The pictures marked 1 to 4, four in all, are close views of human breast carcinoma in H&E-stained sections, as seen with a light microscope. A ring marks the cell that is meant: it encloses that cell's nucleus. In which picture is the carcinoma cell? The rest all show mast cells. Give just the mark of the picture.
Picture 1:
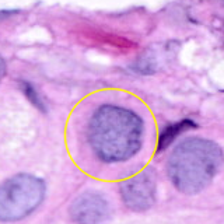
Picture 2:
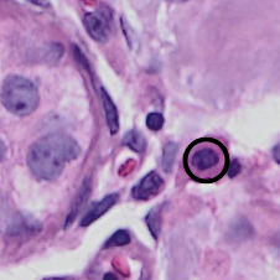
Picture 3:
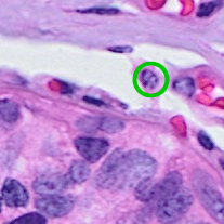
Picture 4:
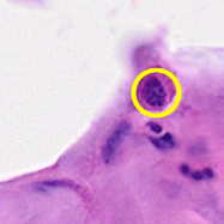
1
